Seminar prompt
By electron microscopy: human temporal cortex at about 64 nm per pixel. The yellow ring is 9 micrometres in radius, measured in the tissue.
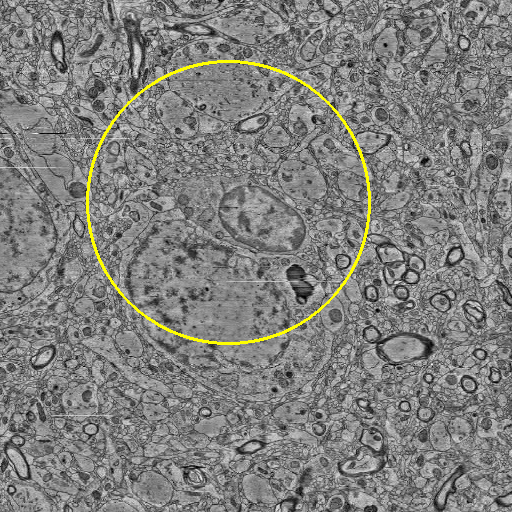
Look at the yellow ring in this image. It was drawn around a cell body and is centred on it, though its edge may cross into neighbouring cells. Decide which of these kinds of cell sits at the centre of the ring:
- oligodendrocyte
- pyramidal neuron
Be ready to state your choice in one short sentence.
The kind of cell at the ring's centre is an oligodendrocyte.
